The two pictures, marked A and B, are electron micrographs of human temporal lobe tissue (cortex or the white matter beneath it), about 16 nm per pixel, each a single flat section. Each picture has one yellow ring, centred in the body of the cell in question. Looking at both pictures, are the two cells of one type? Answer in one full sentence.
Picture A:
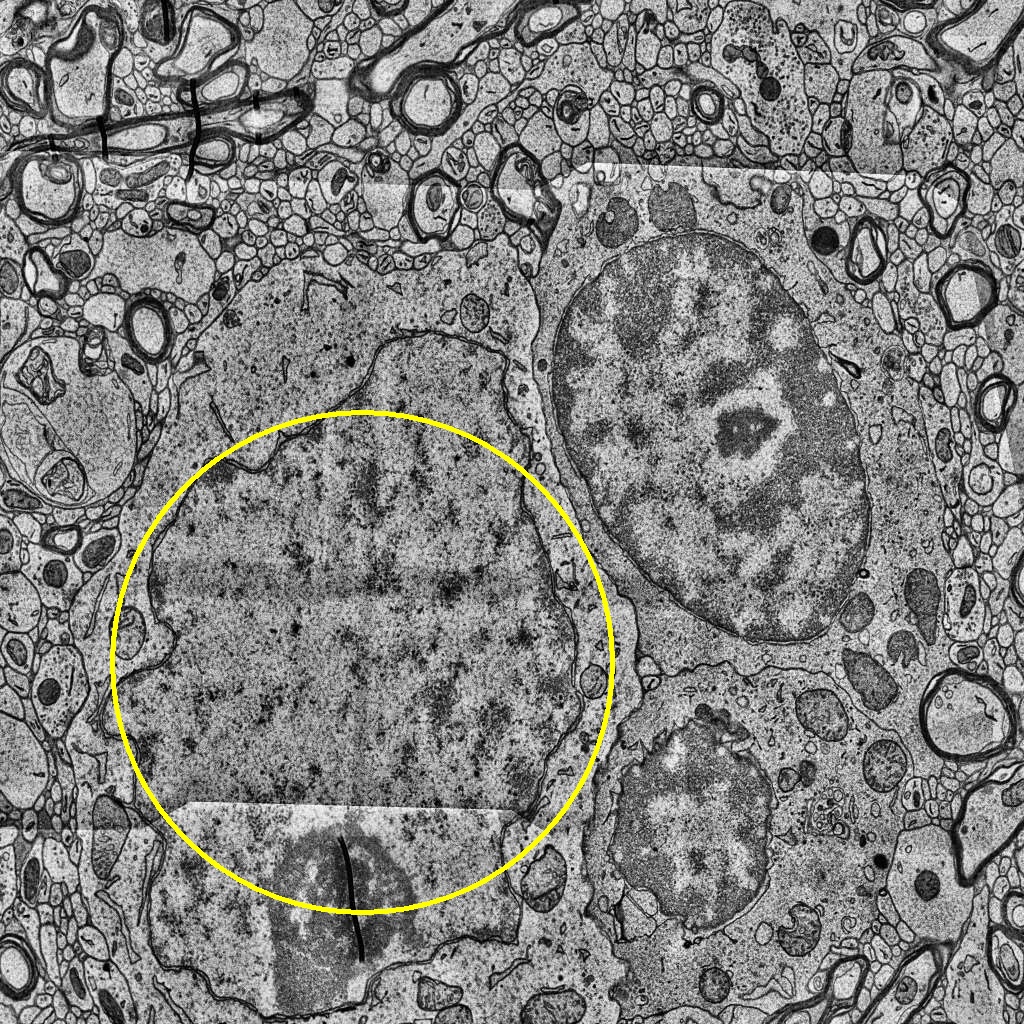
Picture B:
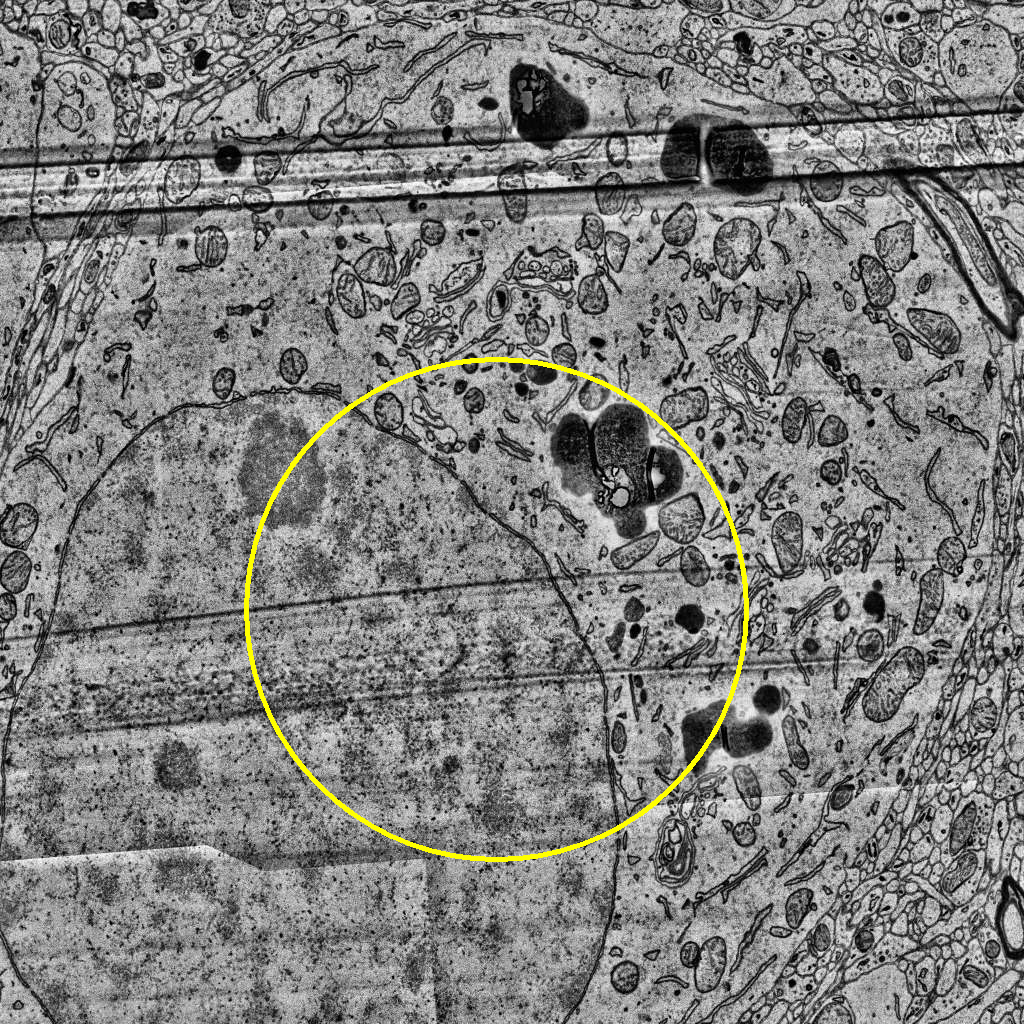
Yes, both are interneurons.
